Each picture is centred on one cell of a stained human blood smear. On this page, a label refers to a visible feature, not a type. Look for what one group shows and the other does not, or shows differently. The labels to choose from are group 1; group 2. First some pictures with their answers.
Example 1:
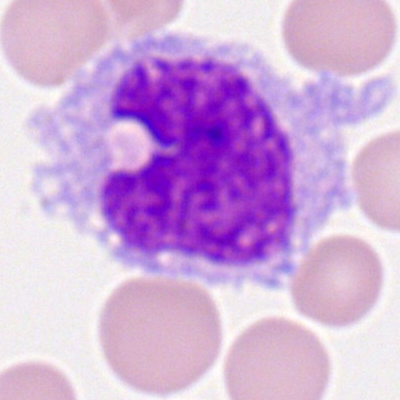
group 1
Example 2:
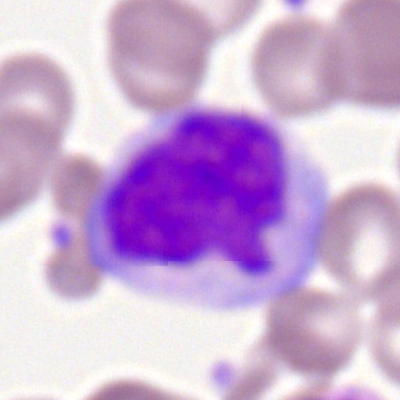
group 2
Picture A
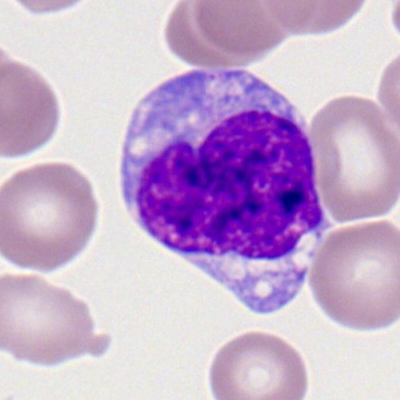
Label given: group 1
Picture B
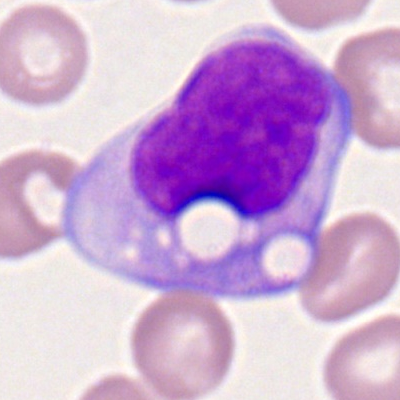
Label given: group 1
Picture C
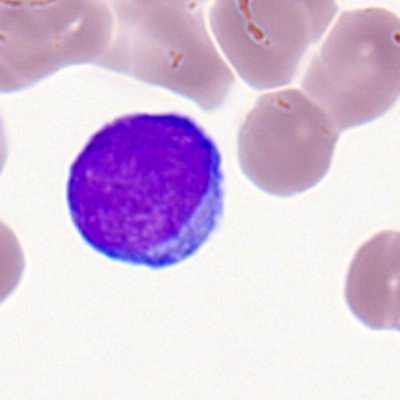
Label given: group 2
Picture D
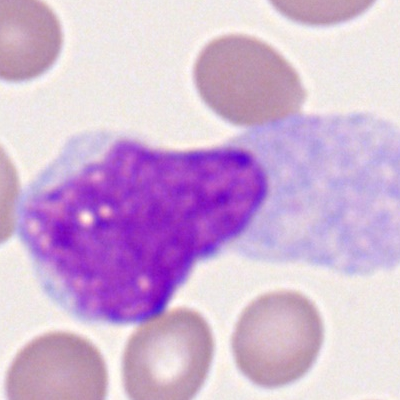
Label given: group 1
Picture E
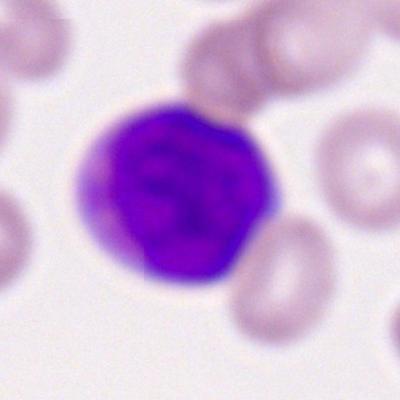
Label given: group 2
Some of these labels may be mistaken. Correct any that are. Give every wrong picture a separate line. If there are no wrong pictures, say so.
D should be group 2, not group 1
